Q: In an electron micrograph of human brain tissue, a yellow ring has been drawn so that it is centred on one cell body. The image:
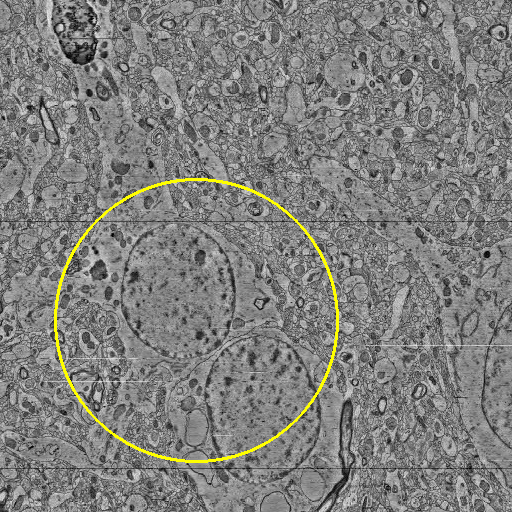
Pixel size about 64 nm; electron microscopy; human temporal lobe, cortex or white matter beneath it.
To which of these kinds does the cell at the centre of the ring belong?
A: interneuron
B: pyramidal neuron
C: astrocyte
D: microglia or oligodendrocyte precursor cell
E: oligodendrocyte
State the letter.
C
